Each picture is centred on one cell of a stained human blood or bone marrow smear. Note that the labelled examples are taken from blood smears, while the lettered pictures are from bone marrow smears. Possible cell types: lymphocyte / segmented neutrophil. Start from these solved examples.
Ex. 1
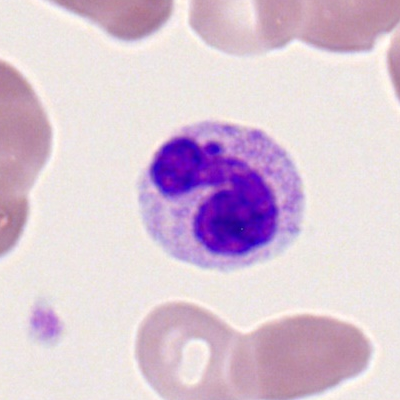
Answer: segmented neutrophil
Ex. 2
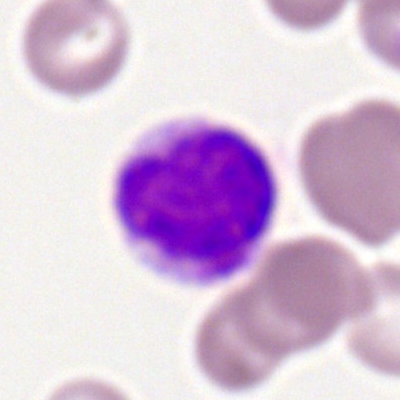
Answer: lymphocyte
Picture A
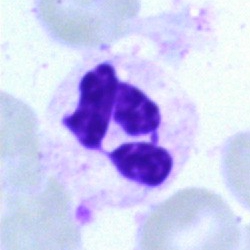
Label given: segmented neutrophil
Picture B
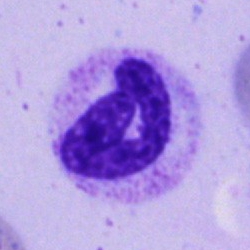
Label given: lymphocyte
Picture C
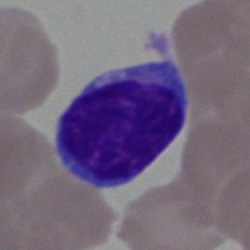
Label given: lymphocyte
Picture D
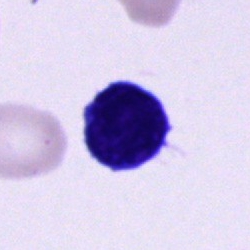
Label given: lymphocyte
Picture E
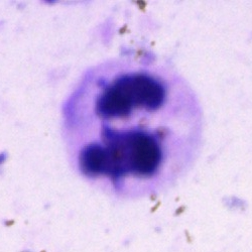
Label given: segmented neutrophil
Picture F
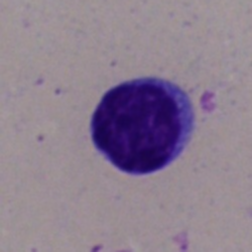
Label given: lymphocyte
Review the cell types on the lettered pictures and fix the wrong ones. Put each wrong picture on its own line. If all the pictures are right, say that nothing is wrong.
B: change lymphocyte to segmented neutrophil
